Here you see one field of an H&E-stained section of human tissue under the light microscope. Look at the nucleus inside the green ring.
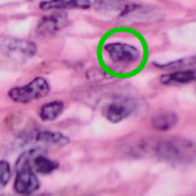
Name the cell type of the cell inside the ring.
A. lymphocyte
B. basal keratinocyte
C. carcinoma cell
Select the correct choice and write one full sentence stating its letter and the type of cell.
Identified correctly by option A, the cell inside the ring is a lymphocyte.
